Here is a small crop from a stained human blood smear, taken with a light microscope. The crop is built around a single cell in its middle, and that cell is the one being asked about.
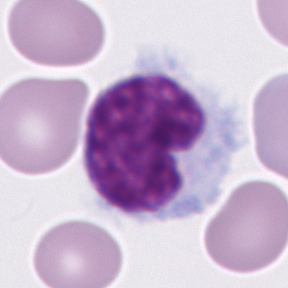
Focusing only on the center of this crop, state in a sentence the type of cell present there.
The central cell in this smear crop is a hairy cell.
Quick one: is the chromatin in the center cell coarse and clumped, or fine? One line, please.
You can see that its chromatin is coarsely clumped.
